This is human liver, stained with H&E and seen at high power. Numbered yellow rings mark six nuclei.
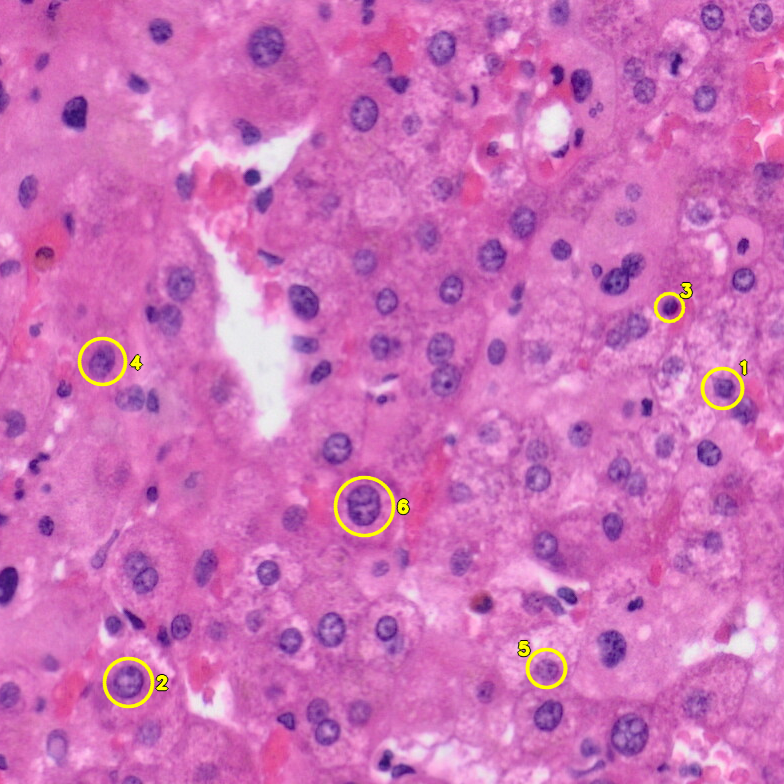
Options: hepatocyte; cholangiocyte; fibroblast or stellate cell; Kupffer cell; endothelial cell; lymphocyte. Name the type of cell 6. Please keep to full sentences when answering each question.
The identity of cell 6 is that of a hepatocyte.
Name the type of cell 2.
Looking at the numbered marks, cell 2 is a hepatocyte.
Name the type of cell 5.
The one labeled 5 is a hepatocyte, to put it simply.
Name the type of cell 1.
The numeral 1 marks a fibroblast or stellate cell in this section.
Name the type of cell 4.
Looking at the numbered marks, cell 4 is a hepatocyte.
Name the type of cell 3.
The cell indicated by marker 3 is a lymphocyte in this section.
